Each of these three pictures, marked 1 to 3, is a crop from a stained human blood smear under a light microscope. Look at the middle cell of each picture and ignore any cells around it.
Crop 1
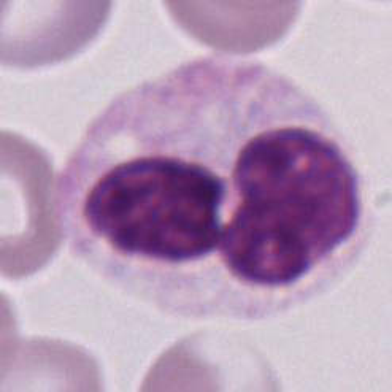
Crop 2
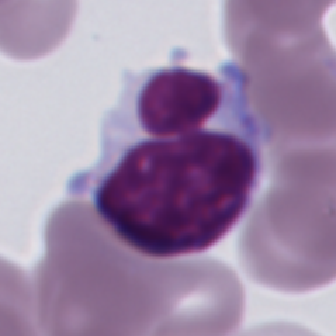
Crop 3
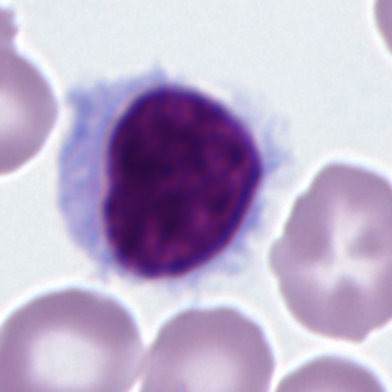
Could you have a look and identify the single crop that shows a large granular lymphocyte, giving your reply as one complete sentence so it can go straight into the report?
The crop in which a large granular lymphocyte is shown is crop 2.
